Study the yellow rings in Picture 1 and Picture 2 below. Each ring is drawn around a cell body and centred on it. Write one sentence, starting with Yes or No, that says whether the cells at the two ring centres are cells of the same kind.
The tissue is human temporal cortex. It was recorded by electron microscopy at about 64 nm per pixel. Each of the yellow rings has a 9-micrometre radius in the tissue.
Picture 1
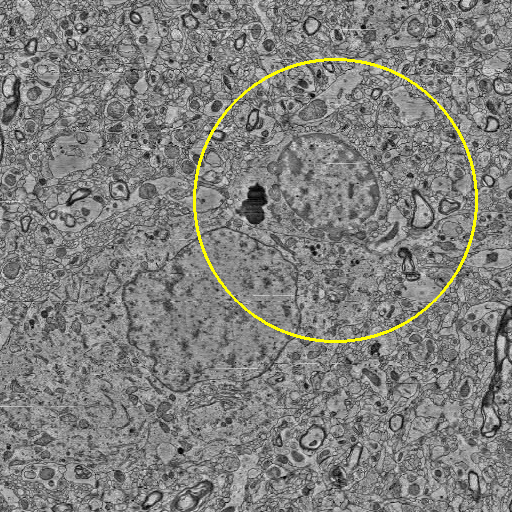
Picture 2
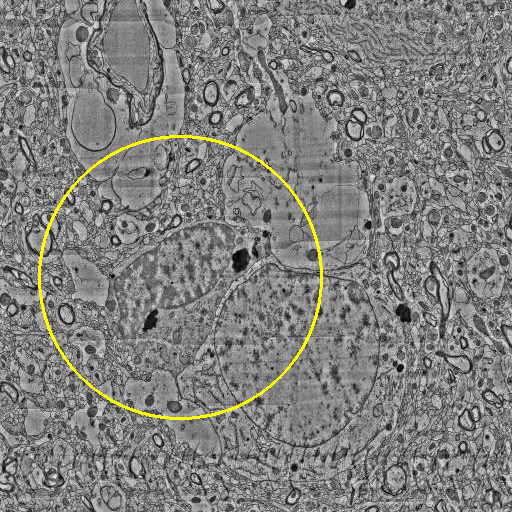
Yes, the cells at both ring centres are of the same kind.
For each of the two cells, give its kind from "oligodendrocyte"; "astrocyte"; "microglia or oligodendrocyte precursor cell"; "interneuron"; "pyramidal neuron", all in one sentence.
Both rings mark an oligodendrocyte, one in each picture.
